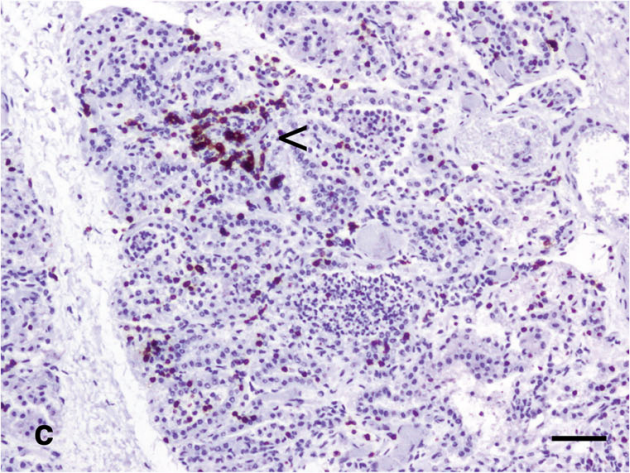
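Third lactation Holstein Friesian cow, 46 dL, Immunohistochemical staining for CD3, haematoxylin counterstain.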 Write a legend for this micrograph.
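This is mammary gland tissue with alveoli lined by epithelial cells, among which brown-stained lymphocytes are scattered. At the upper left a group of small round brown cells forms a distinct aggregate. Other brown cells lie singly in the thin tissue between alveoli and along their linings. The epithelial cells have round blue nuclei and pale cytoplasm, and some lumina hold pale grey-pink secretion. One alveolus near the centre is filled with densely packed small blue nuclei of unstained inflammatory cells.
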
